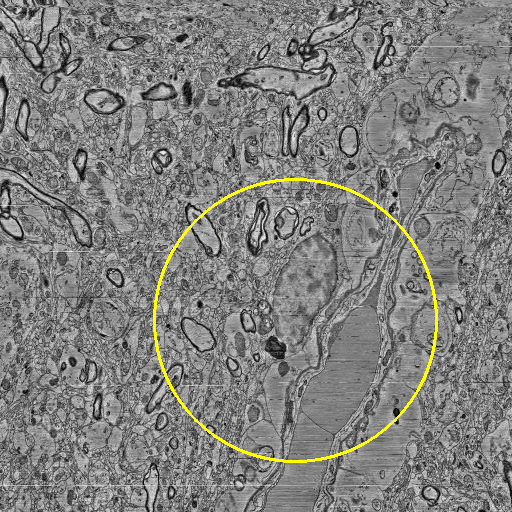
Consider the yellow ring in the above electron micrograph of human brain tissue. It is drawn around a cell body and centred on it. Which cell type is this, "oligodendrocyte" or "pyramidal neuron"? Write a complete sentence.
The cell in question is an oligodendrocyte.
